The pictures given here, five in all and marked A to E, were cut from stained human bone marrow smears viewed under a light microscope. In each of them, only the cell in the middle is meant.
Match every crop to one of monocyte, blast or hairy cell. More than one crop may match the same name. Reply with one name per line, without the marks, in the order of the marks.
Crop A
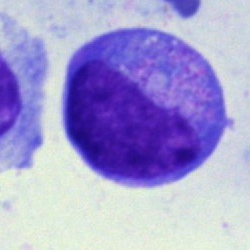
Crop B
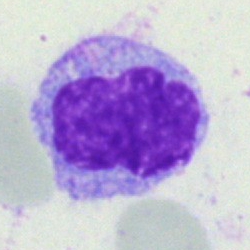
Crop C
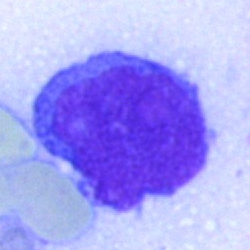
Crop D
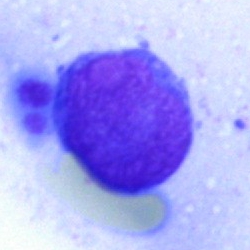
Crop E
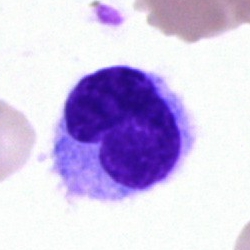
blast
monocyte
blast
blast
hairy cell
